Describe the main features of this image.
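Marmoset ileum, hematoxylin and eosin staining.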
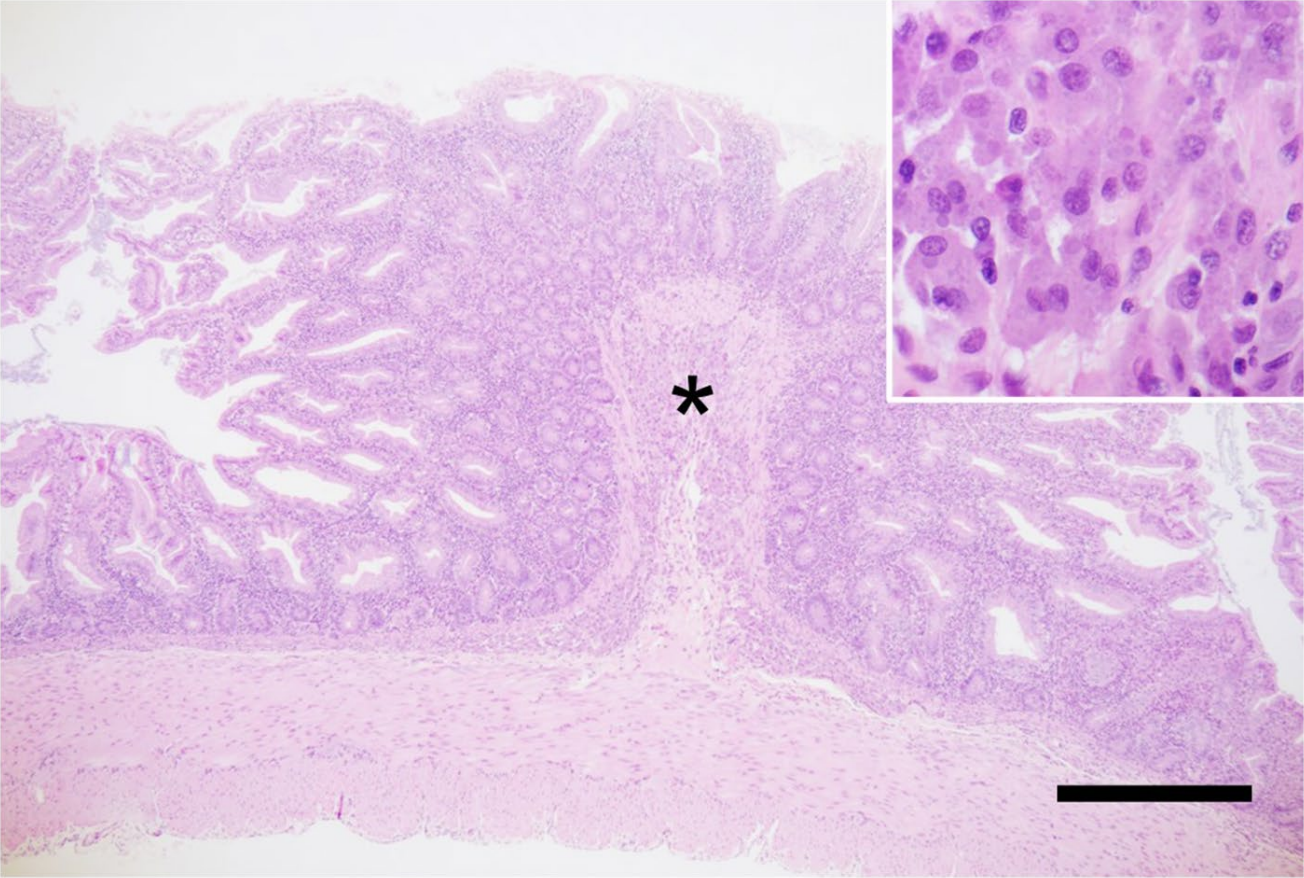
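This is a low-power view of the small intestinal wall, with villi and crypts above and a thick pink muscle coat below. The mucosa is raised into a broad fold whose core, under the asterisk, is a pale pink band extending up from the layer that sits just above the muscle. The lamina propria between the crypts is densely crowded with small purple nuclei, suggesting many inflammatory cells. The inset at higher power shows large cells with abundant pale pink cytoplasm and round to oval nuclei with fine chromatin, lying in sheets. These are macrophages infiltrating the submucosa of the circular fold.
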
